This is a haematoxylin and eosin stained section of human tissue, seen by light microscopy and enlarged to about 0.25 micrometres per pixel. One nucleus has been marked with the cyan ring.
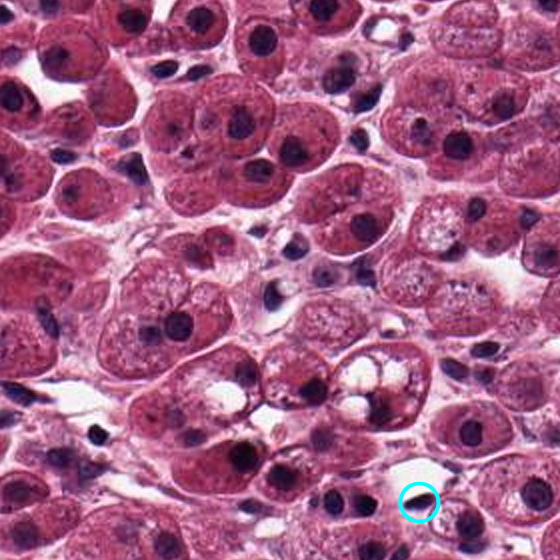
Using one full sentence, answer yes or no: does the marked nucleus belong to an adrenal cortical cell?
No, the nucleus that is marked belongs to a supporting cell rather than to an adrenal cortical cell.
